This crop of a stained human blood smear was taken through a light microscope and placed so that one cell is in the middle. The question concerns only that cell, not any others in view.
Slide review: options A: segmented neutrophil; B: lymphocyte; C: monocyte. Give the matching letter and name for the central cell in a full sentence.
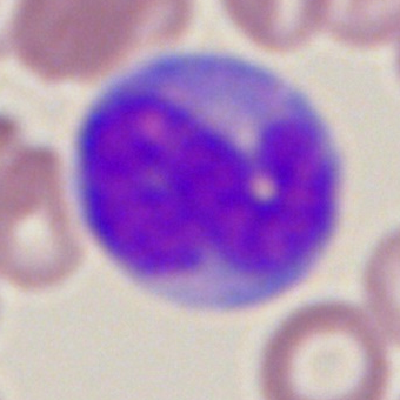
The cell in the middle is a monocyte, so option C is correct.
